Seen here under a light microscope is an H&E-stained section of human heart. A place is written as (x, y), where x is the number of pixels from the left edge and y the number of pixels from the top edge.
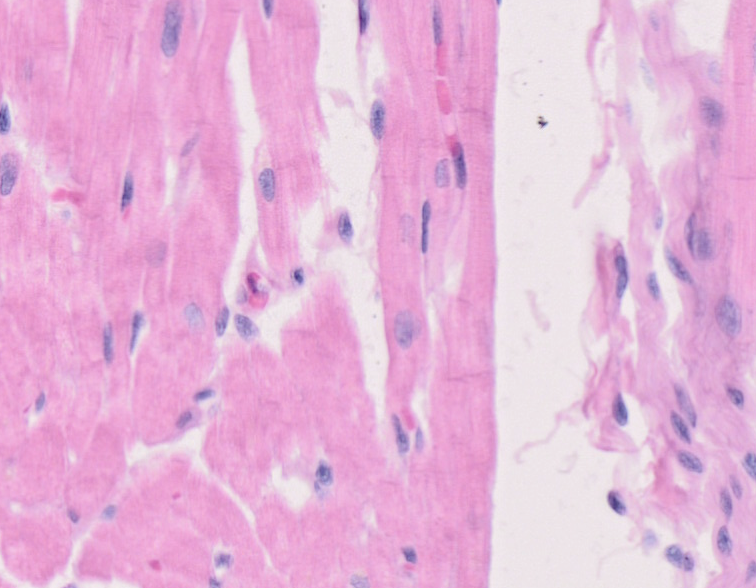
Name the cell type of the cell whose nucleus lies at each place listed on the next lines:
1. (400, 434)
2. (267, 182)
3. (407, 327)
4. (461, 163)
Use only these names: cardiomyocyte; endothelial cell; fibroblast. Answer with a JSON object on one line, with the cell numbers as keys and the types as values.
{"1": "fibroblast", "2": "cardiomyocyte", "3": "cardiomyocyte", "4": "endothelial cell"}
